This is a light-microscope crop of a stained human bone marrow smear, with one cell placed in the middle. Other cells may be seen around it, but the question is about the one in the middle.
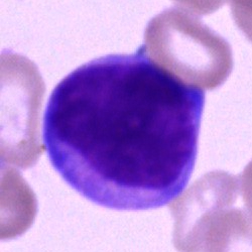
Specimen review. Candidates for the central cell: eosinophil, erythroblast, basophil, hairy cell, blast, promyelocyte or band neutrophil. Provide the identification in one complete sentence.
Located at the centre of the crop is a blast.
